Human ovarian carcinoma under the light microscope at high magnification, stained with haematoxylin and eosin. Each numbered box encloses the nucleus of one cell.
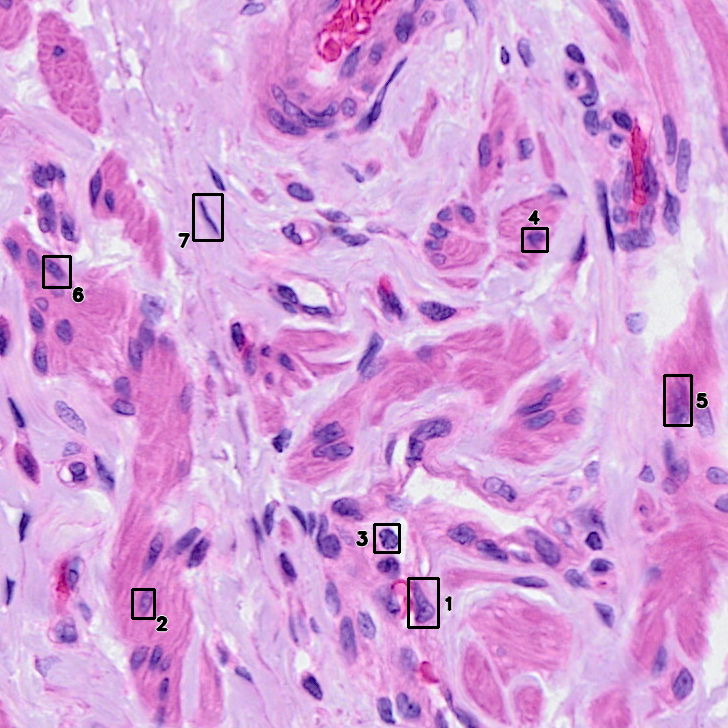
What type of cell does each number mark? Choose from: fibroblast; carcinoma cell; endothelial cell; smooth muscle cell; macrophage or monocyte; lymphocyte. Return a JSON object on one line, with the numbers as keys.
{"1": "endothelial cell", "2": "smooth muscle cell", "3": "lymphocyte", "4": "smooth muscle cell", "5": "smooth muscle cell", "6": "smooth muscle cell", "7": "fibroblast"}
